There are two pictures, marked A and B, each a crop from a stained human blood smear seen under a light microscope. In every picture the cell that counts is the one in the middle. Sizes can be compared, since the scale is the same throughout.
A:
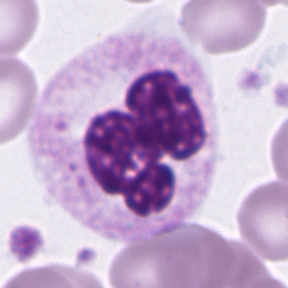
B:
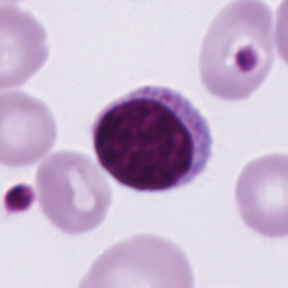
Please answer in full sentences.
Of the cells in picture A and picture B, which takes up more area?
The cell in picture A is larger, with about 3 times the area of the one in picture B.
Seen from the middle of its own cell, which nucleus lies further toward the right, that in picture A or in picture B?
It is the nucleus in picture A that lies further toward the right of its cell.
